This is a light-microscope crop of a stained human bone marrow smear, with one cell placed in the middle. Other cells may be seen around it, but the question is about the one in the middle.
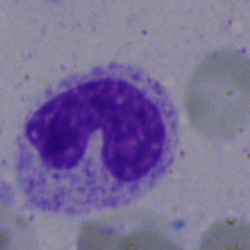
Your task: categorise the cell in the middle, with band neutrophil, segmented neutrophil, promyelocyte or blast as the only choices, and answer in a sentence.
To answer, the cell in the center of the crop is a band neutrophil.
